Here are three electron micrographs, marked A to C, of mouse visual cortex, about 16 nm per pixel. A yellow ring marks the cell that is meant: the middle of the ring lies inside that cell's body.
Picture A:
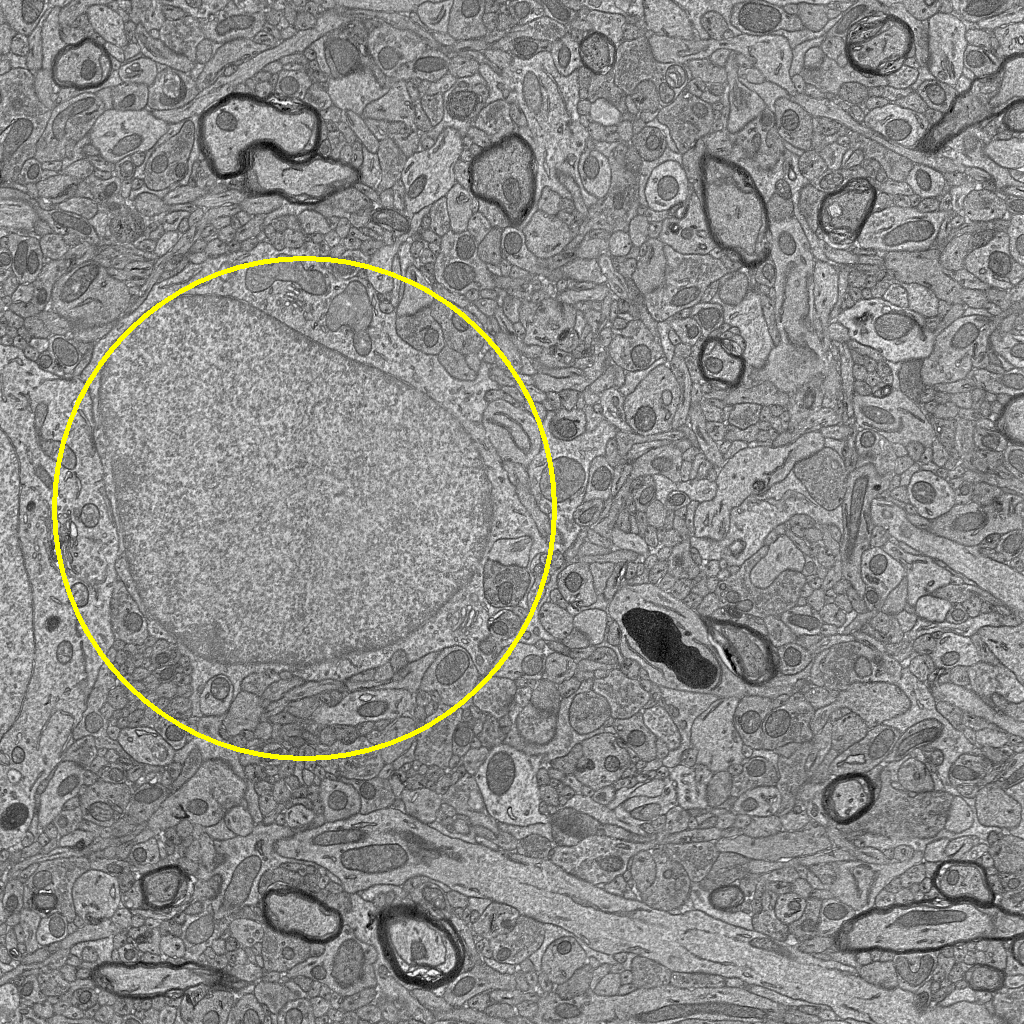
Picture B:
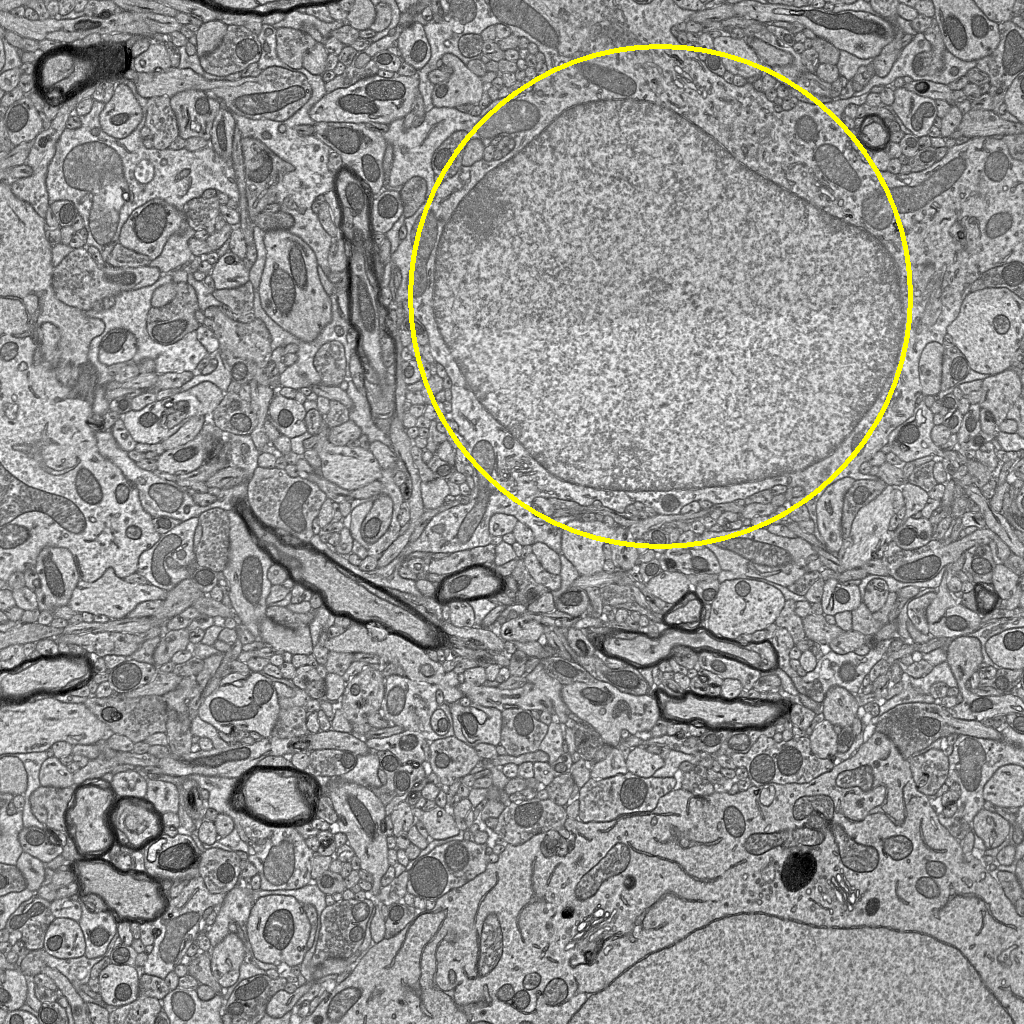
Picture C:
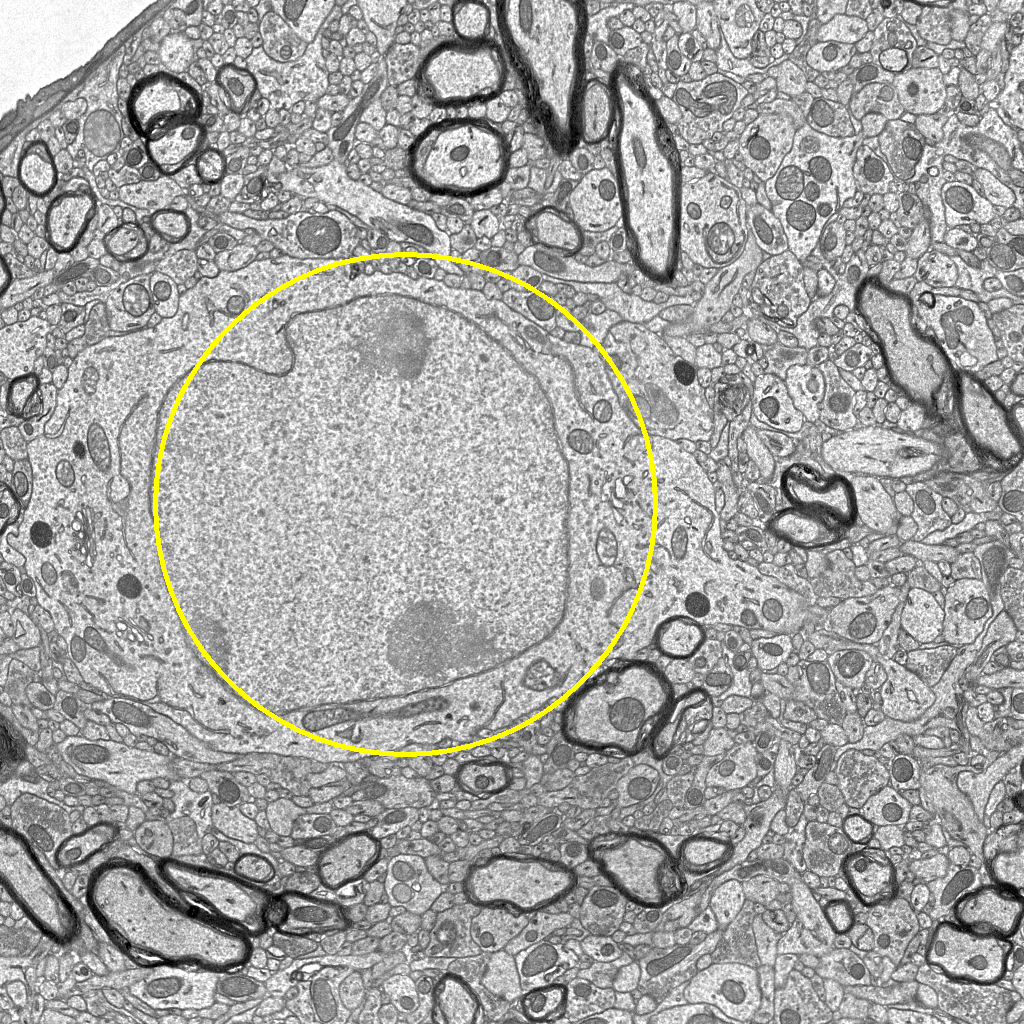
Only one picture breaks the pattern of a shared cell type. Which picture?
The different one is picture C; it shows an excitatory neuron, whereas all the others show astrocytes.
